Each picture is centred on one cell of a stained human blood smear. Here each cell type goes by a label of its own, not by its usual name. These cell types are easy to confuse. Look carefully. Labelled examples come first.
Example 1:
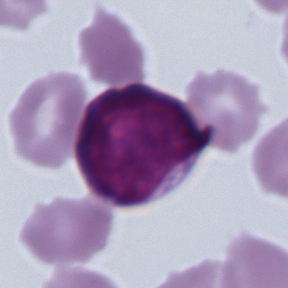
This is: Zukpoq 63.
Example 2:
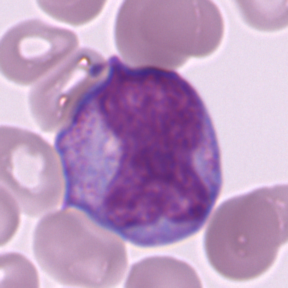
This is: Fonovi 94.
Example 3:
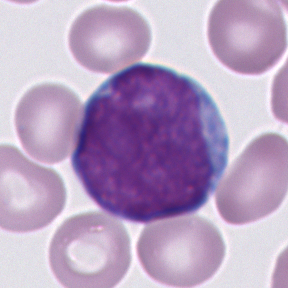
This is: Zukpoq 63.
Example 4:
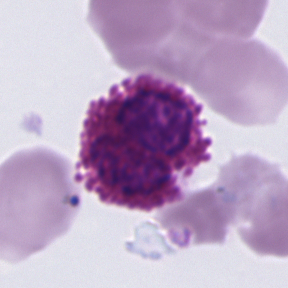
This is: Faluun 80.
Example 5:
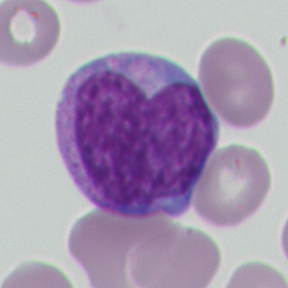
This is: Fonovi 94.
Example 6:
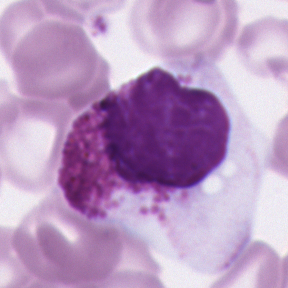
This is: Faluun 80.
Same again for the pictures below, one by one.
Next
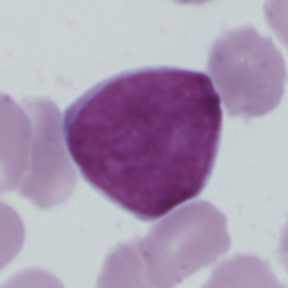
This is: Zukpoq 63.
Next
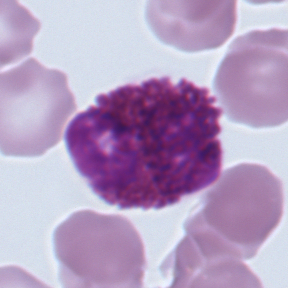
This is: Faluun 80.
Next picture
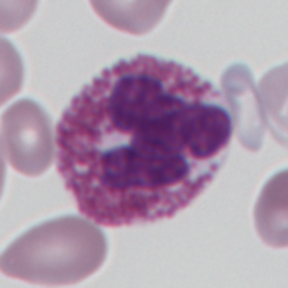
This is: Faluun 80.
